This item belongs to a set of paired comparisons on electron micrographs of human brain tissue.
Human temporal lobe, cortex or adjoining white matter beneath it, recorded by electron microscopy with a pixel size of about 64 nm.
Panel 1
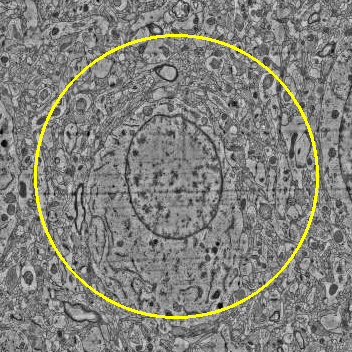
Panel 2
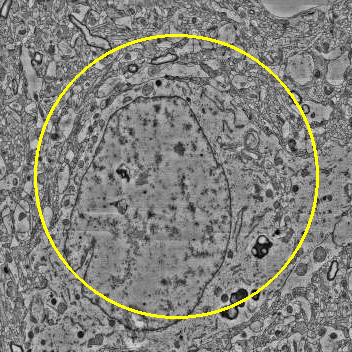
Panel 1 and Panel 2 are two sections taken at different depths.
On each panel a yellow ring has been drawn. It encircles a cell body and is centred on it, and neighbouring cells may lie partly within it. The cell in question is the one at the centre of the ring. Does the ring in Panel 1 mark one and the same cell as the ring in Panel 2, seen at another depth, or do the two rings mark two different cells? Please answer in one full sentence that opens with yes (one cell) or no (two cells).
No, the rings single out two cells that are separate from each other.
